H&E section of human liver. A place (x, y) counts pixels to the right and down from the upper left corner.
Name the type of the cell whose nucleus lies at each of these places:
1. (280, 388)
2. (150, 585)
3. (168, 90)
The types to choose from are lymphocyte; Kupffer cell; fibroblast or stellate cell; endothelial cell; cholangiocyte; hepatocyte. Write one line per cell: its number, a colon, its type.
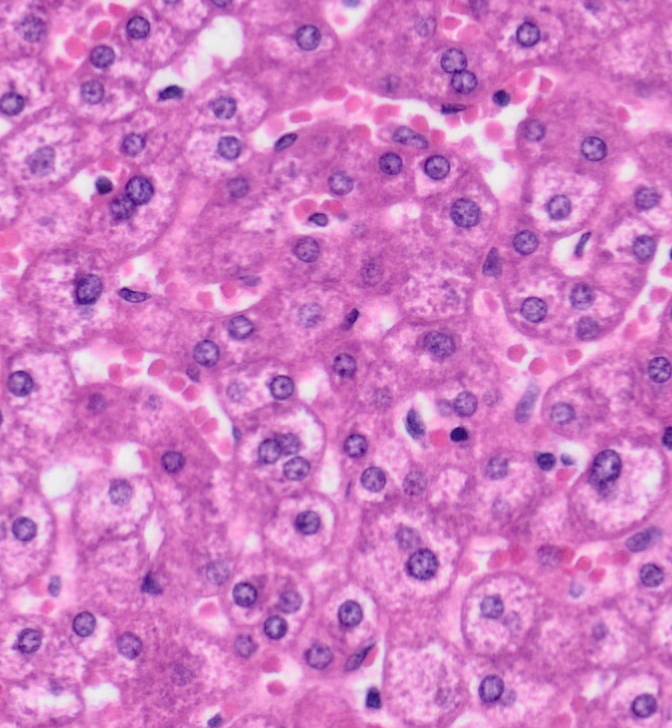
1: hepatocyte
2: fibroblast or stellate cell
3: lymphocyte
